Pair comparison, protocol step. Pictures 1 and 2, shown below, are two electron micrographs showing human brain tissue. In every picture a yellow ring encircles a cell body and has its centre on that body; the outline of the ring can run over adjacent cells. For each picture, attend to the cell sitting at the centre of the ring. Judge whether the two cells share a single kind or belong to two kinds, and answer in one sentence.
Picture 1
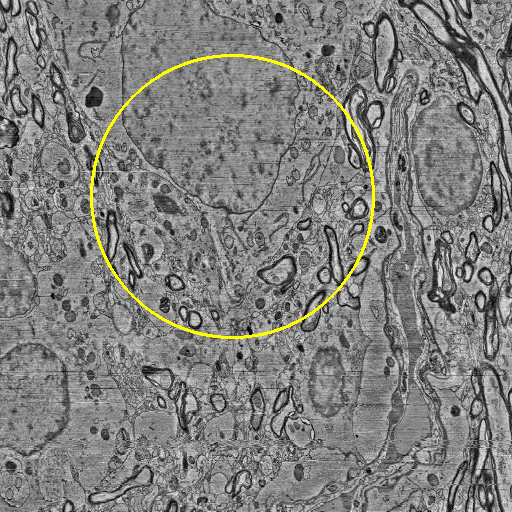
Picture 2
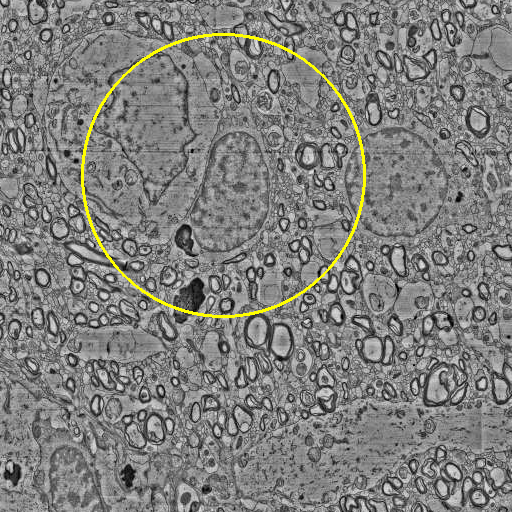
The two cells at the ring centres in Picture 1 and Picture 2 belong to two kinds.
